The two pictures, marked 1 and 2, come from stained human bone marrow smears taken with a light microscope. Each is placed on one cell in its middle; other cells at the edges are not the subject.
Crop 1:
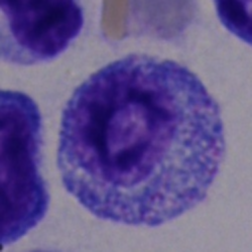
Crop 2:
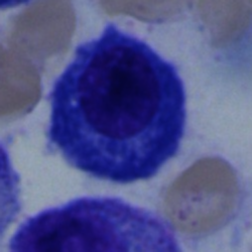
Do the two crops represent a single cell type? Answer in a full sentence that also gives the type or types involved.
No, it is a myelocyte in crop 1 and a plasma cell in crop 2.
